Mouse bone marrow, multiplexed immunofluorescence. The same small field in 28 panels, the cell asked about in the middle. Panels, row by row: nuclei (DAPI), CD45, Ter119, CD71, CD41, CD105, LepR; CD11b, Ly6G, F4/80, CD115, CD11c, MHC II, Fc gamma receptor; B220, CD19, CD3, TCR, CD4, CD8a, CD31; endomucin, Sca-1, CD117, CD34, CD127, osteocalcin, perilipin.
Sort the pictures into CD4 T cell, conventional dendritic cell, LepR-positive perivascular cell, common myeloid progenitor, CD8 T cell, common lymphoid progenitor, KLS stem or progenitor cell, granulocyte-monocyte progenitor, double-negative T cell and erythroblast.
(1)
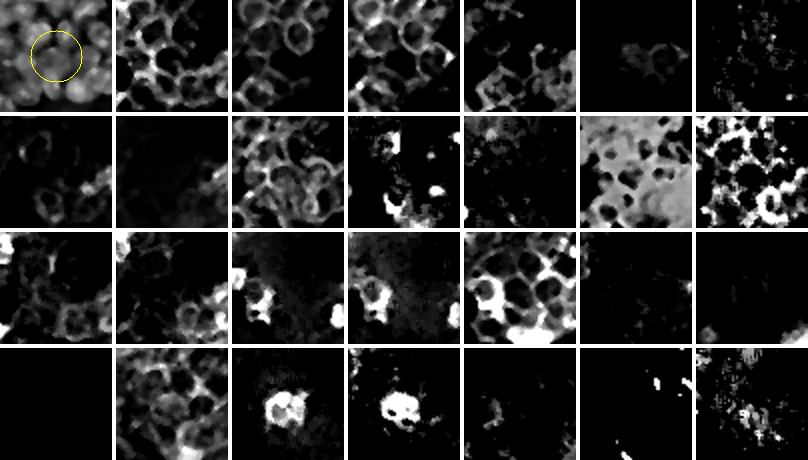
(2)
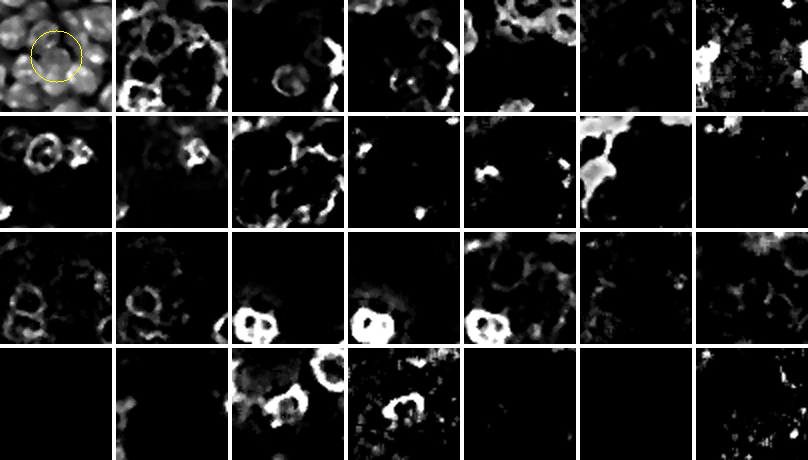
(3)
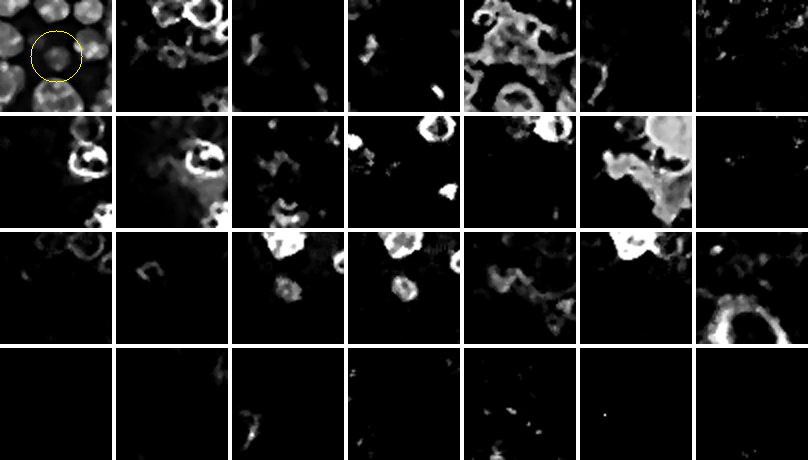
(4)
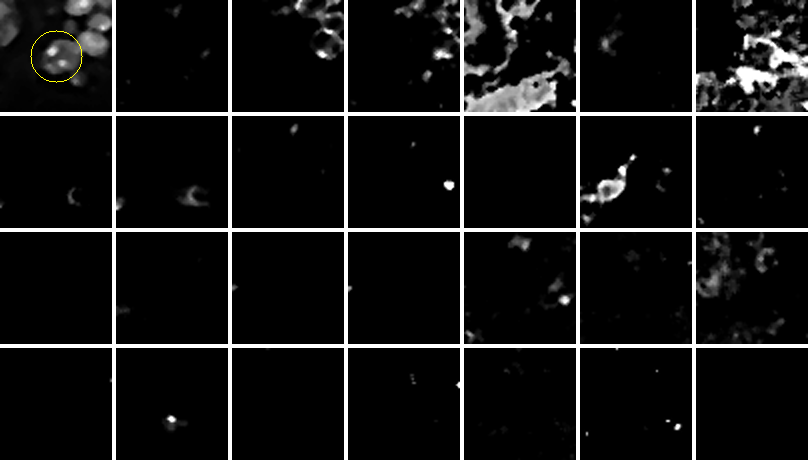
Granulocyte-monocyte progenitors: 1
Common myeloid progenitors: 2
Double-negative T cells: 3
LepR-positive perivascular cells: 4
